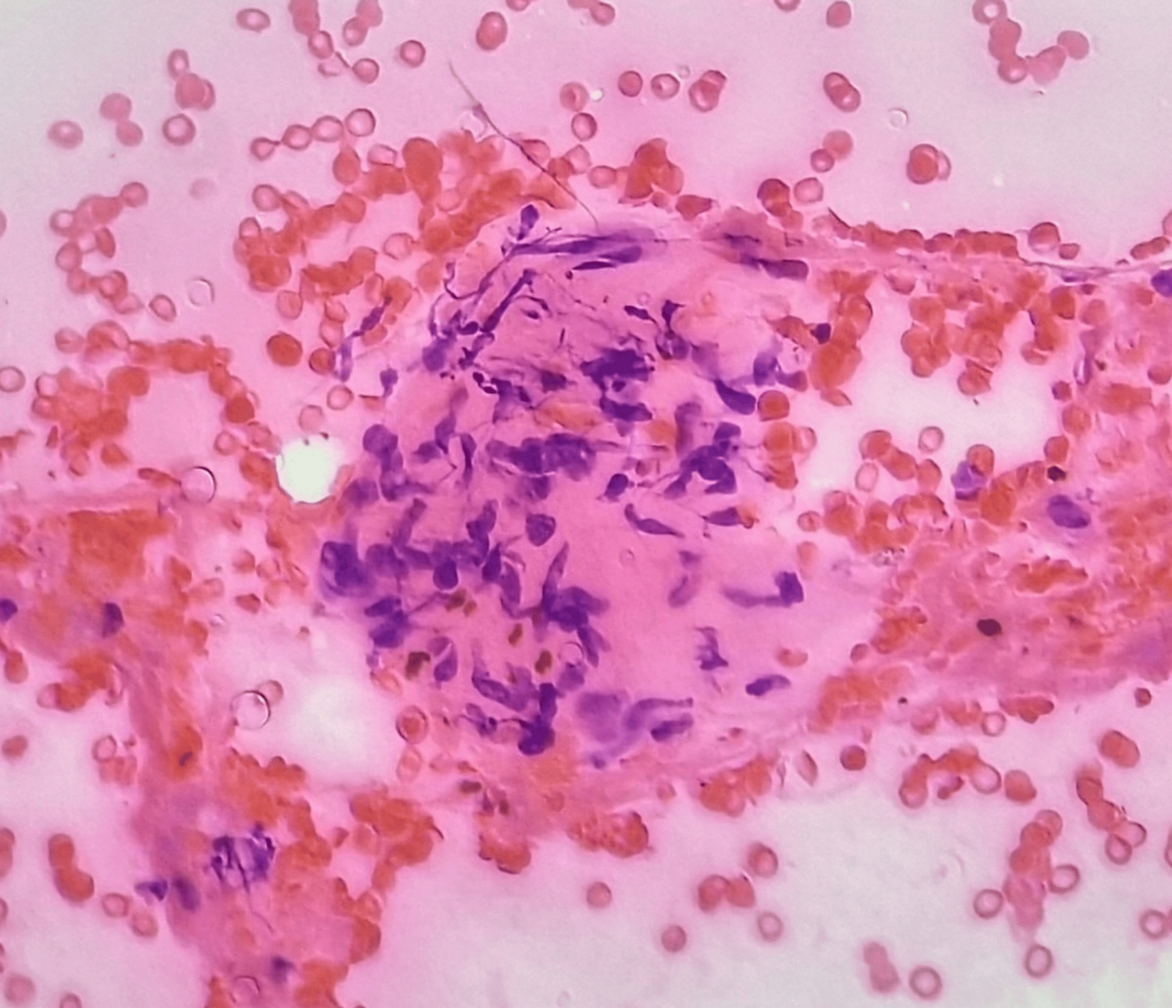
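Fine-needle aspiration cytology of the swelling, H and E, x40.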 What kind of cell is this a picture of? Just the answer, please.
spindle cell fragments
